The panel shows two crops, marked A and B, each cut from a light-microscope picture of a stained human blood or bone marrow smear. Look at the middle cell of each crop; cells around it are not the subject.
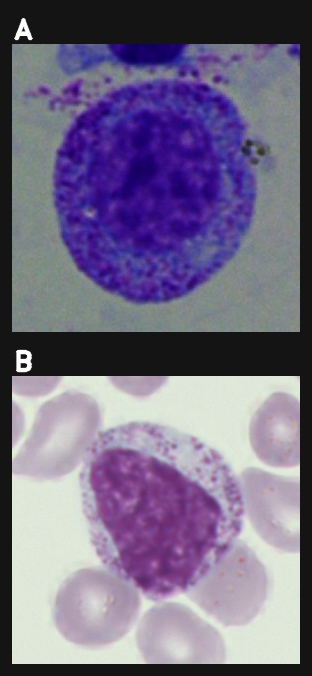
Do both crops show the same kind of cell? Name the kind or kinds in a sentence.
Yes, the two cells in the two crops are myelocytes.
